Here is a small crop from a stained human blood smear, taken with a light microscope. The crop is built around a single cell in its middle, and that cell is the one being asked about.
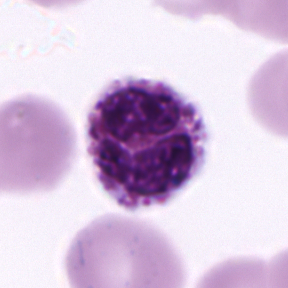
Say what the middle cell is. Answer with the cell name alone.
eosinophil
